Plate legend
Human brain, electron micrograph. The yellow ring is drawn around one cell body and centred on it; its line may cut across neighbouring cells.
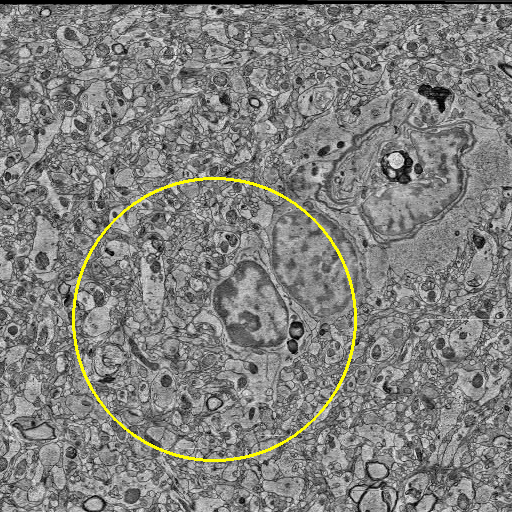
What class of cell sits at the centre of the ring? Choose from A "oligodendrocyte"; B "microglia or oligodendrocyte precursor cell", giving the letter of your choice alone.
B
